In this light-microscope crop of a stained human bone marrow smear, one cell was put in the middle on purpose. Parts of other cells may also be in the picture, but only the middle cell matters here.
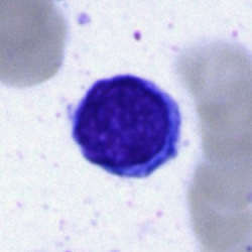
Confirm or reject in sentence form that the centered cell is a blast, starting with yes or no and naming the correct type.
No, the cell at the centre is a lymphocyte, which rules out a blast.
